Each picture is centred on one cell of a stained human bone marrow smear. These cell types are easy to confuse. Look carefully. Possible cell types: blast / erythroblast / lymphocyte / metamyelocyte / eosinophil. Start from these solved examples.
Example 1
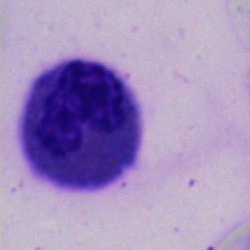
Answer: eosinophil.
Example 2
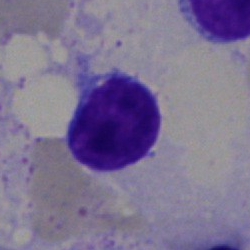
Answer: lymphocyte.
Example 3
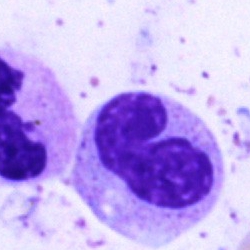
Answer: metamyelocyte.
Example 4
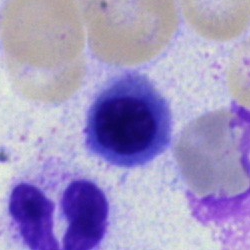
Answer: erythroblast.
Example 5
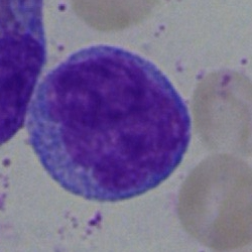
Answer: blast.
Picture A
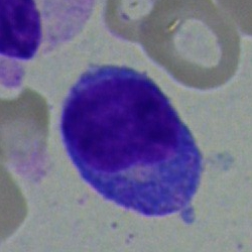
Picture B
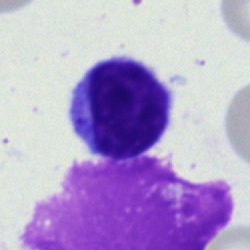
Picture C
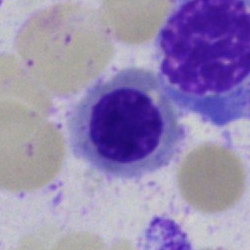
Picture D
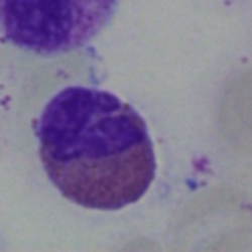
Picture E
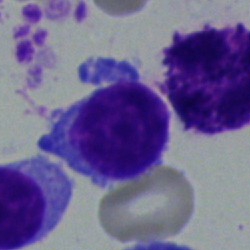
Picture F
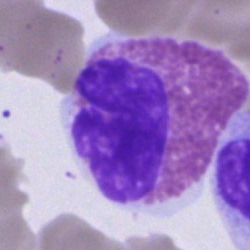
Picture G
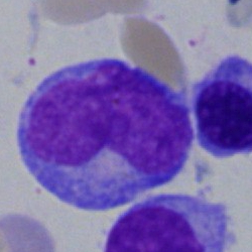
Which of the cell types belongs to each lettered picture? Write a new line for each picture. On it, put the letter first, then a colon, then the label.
A: blast.
B: lymphocyte.
C: erythroblast.
D: eosinophil.
E: lymphocyte.
F: eosinophil.
G: blast.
